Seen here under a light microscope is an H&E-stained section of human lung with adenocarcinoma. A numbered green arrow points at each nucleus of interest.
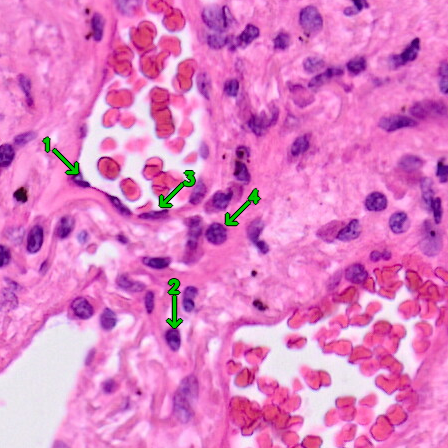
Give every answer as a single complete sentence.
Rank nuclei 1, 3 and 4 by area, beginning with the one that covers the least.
The order from the smallest nucleus to the largest is 1, 3, 4.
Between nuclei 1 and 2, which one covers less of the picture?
Nucleus 1 is the smaller one; nucleus 2 covers about 2 times its area.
